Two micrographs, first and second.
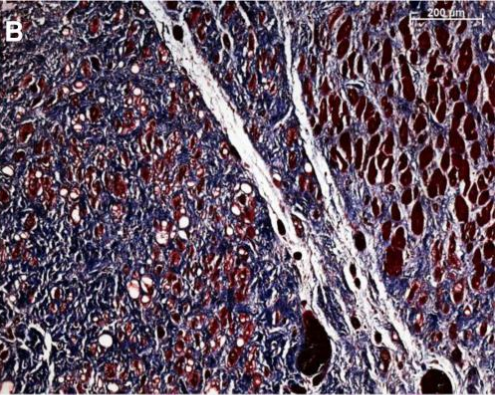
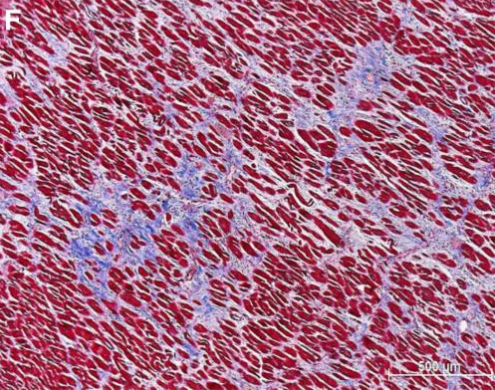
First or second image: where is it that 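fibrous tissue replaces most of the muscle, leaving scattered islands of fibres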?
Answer: The first image.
